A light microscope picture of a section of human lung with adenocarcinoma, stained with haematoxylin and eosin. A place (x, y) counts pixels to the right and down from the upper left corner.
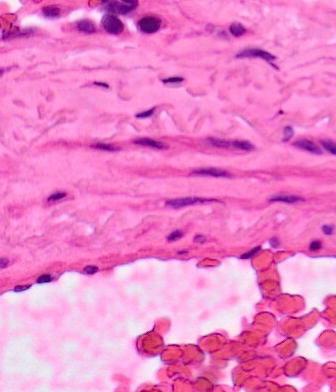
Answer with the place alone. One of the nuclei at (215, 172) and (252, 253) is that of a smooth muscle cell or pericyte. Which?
(215, 172)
